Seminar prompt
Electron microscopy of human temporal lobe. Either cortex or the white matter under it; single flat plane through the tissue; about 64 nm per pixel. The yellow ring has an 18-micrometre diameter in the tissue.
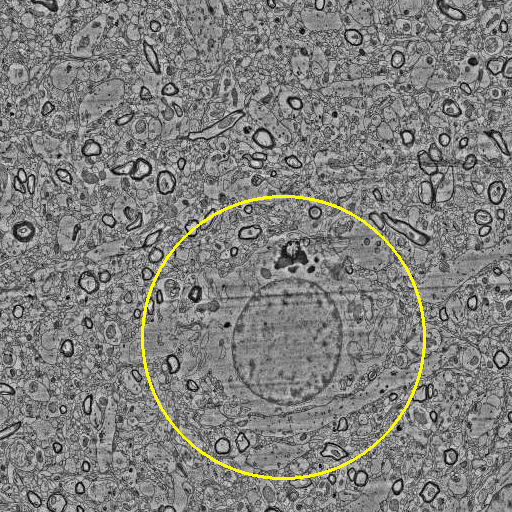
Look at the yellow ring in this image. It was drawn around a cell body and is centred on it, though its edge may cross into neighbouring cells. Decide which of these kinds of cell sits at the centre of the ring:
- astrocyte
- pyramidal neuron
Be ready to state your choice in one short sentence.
The kind of cell at the ring's centre is an astrocyte.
